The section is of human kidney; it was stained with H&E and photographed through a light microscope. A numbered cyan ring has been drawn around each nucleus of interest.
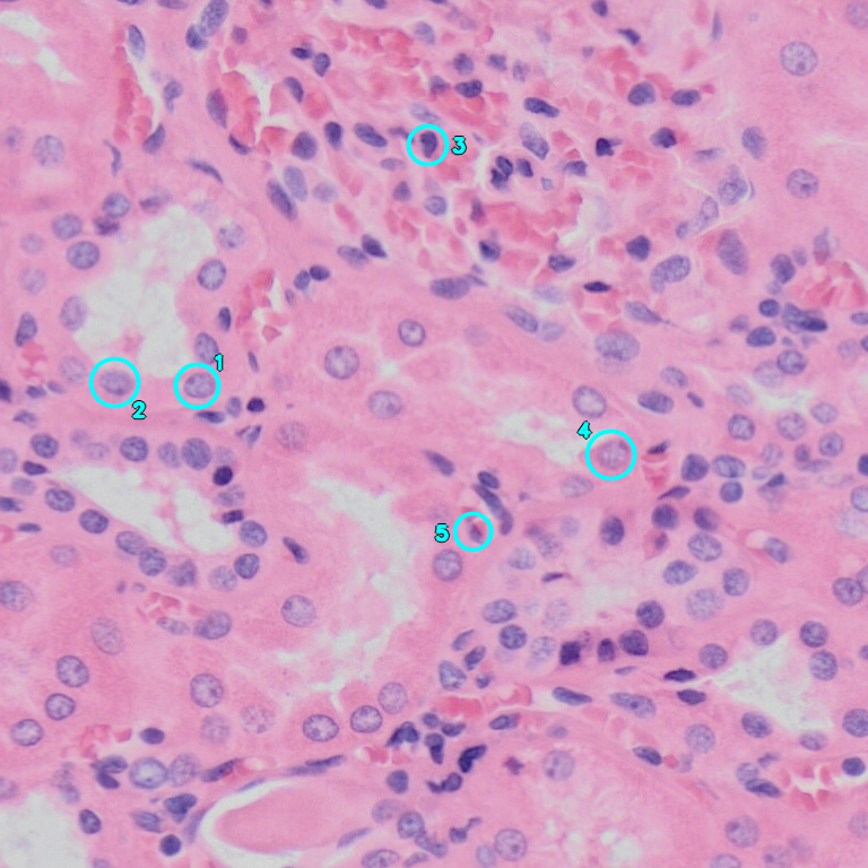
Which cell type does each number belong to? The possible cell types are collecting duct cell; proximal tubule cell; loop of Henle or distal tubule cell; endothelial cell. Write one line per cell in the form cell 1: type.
cell 1: loop of Henle or distal tubule cell
cell 2: loop of Henle or distal tubule cell
cell 3: endothelial cell
cell 4: proximal tubule cell
cell 5: endothelial cell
